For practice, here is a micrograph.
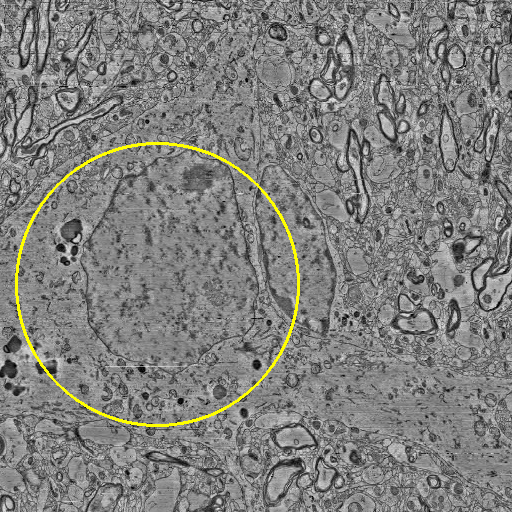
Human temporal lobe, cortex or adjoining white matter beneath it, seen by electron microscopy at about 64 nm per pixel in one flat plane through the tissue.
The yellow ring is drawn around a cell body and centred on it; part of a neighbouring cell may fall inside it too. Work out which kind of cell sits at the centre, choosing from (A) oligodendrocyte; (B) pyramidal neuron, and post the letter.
B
